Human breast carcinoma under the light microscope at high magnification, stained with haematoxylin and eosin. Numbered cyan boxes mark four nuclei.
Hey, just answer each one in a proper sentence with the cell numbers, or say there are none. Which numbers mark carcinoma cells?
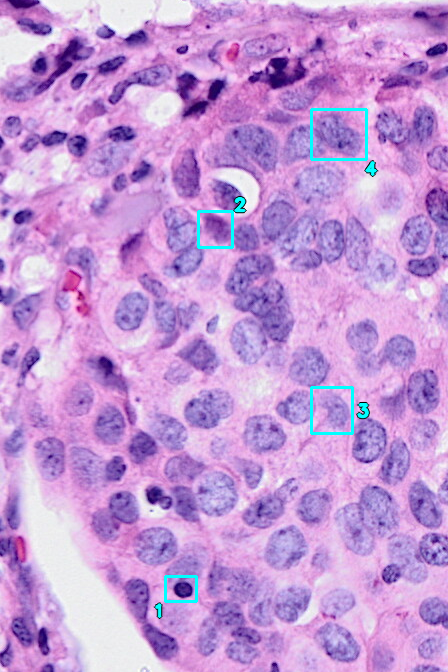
The cells whose numbers are 2, 3 and 4 are carcinoma cells.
